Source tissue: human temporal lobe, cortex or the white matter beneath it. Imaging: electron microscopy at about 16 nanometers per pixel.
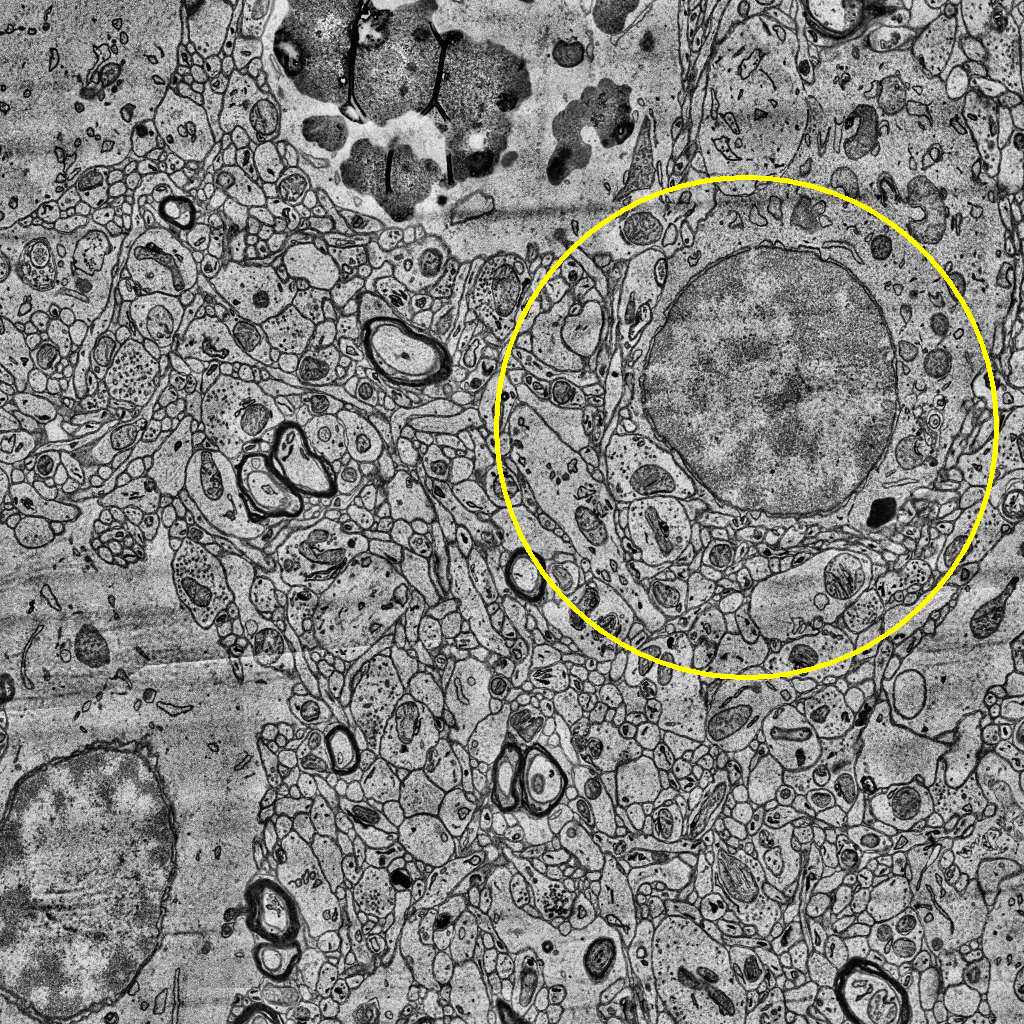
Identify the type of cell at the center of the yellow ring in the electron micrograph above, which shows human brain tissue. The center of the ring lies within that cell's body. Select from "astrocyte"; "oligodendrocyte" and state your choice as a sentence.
The center of the yellow ring lies in the body of an oligodendrocyte.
